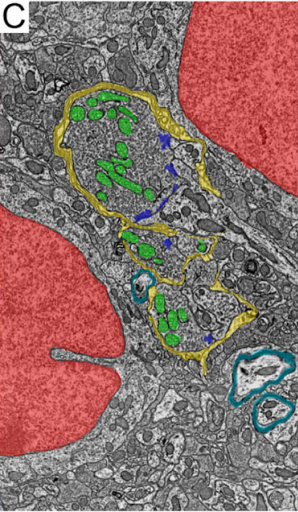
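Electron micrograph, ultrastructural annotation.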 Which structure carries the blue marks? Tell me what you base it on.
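Small dark-blue elongated marks lie at contacts between profiles inside the yellow-wrapped cluster.
Answer: synaptic sites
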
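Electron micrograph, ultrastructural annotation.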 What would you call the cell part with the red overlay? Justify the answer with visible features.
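Two large, rounded, finely granular profiles at left and upper right are filled red. The left red profile has a deep notch in its outline. Each red profile is bounded by a smooth envelope against surrounding cytoplasm. The answer: nucleus.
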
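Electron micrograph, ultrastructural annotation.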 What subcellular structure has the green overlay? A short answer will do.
Mitochondria.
